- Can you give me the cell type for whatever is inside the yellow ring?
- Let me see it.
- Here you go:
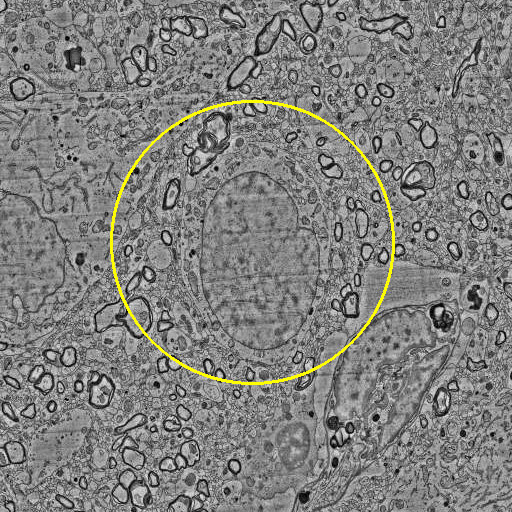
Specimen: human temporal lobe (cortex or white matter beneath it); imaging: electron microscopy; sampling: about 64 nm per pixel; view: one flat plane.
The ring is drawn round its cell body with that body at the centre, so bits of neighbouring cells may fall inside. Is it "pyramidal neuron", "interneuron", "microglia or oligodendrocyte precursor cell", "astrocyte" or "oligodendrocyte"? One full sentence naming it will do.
The cell body in the middle of the ring in this picture belongs to an interneuron.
